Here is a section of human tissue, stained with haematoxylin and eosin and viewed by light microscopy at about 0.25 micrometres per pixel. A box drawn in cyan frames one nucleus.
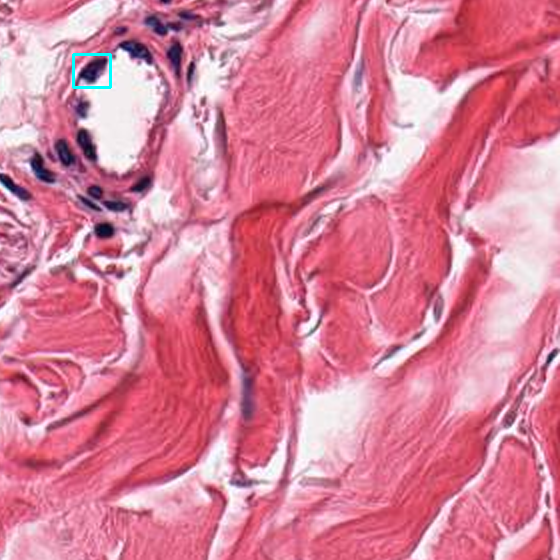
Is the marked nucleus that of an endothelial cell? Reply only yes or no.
yes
